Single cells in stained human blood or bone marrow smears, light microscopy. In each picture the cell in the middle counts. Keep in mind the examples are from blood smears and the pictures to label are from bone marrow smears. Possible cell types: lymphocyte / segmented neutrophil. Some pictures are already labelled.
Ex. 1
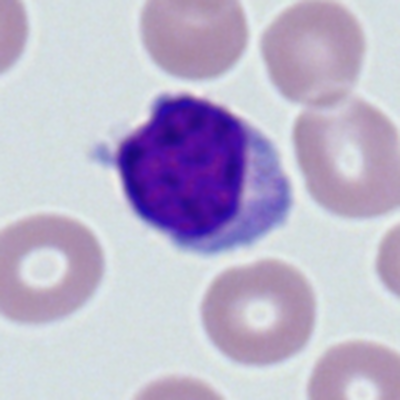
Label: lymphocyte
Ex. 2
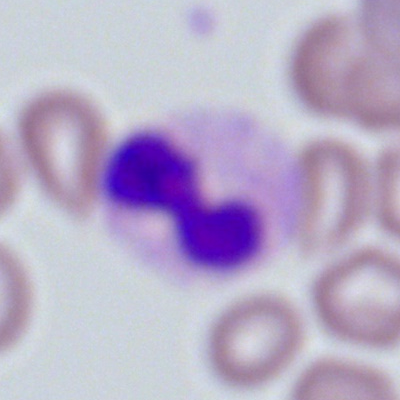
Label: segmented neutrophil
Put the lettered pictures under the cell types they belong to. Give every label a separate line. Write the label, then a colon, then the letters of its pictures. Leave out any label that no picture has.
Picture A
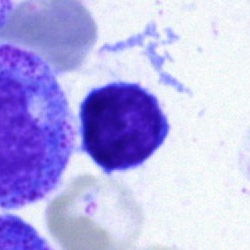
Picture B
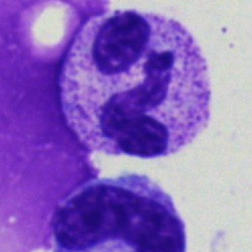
lymphocyte: A
segmented neutrophil: B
